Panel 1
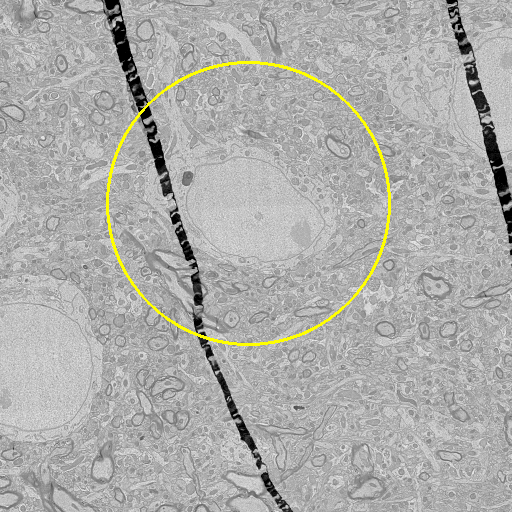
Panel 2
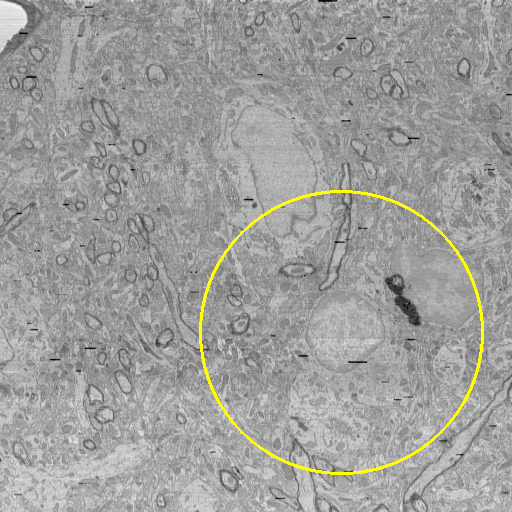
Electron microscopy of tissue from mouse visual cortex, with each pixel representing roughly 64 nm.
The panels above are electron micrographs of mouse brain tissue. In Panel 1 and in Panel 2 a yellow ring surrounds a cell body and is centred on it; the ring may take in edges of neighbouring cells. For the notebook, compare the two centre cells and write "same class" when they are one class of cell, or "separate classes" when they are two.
separate classes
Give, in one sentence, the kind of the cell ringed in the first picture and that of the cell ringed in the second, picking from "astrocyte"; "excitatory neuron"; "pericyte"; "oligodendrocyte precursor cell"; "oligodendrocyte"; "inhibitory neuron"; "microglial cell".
For the first picture it is an excitatory neuron; for the second, an oligodendrocyte.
